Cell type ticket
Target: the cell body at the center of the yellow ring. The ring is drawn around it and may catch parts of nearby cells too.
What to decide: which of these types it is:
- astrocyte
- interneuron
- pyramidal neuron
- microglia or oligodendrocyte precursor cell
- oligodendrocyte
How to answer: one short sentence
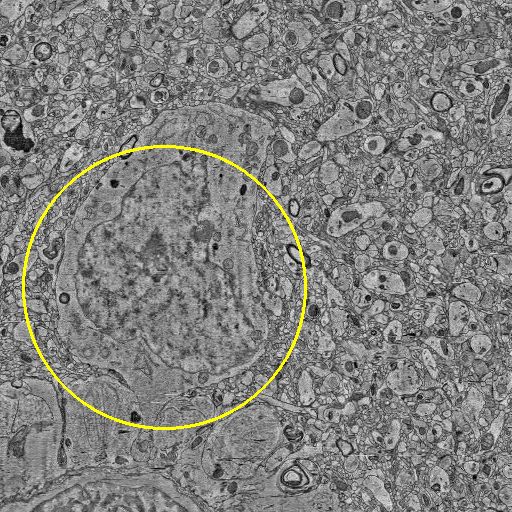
The cell at the center of the ring is an interneuron.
